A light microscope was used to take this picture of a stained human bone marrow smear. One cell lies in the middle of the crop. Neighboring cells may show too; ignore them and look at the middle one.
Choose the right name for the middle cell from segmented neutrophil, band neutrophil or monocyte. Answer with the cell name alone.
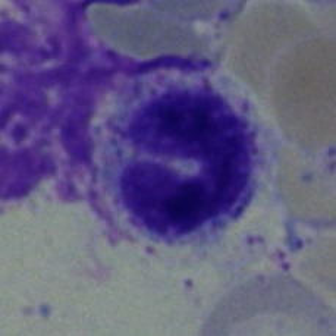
band neutrophil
